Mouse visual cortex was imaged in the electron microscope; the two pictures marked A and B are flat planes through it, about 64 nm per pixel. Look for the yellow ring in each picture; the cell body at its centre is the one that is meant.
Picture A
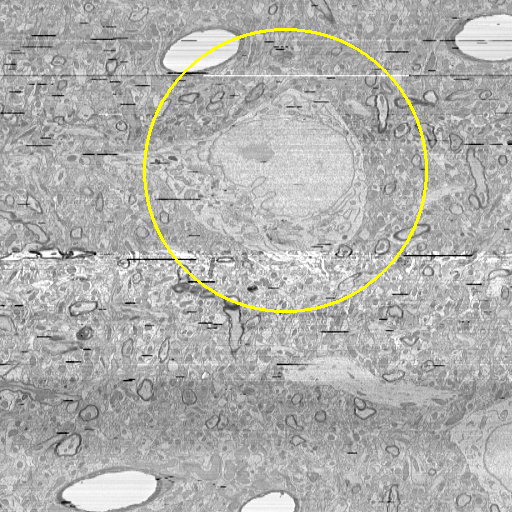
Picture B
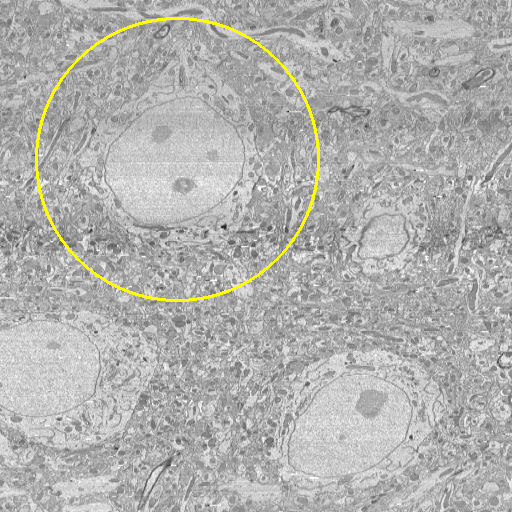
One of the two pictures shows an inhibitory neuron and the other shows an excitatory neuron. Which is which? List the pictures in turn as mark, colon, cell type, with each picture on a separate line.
A: inhibitory neuron
B: excitatory neuron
